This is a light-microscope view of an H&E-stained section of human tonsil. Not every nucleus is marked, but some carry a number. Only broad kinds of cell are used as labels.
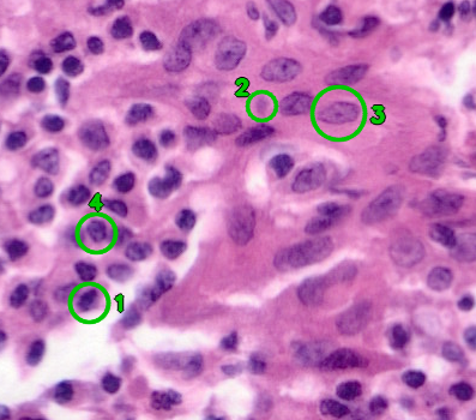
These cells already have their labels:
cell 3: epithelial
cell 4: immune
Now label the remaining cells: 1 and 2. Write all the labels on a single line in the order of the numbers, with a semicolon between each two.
immune; epithelial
